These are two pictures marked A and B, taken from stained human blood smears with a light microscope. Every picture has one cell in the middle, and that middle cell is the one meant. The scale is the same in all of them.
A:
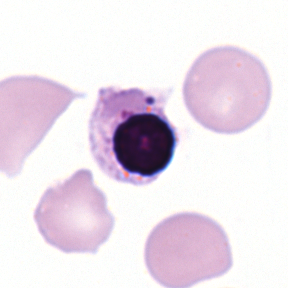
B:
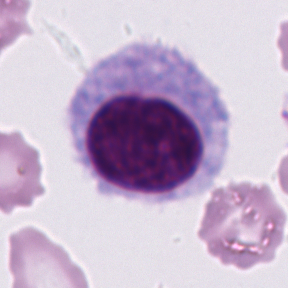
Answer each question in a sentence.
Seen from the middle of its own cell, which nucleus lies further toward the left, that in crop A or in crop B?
Seen within its cell, the nucleus in crop B lies further toward the left.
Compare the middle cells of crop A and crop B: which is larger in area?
The cell in crop B is larger, with about 3 times the area of the one in crop A.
